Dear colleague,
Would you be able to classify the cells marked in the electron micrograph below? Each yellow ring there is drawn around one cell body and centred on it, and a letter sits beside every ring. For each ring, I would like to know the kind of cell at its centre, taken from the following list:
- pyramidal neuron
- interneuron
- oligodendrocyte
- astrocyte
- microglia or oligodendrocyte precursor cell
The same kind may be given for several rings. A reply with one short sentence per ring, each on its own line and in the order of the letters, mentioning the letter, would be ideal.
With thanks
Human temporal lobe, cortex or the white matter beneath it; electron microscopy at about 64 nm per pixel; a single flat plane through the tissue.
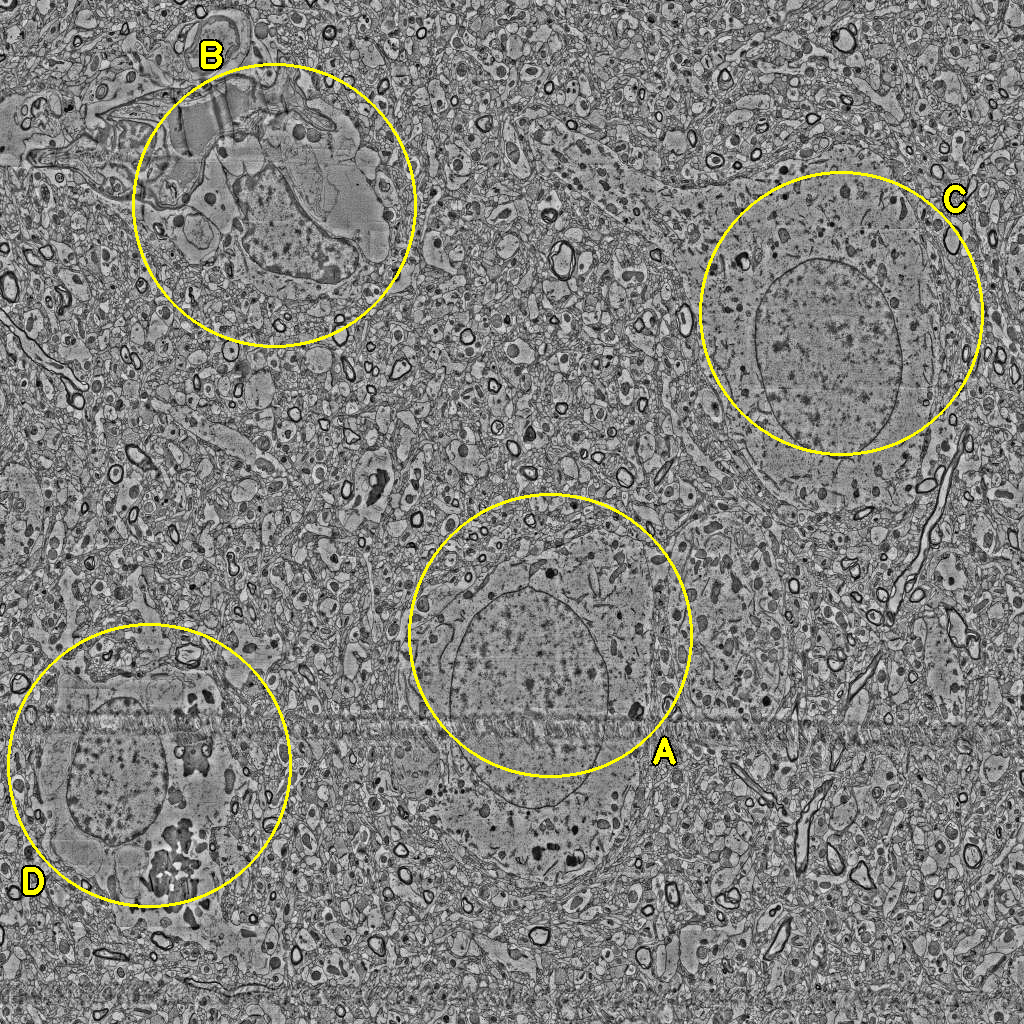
Ring A contains a pyramidal neuron at its centre.
Ring B contains a microglial cell or oligodendrocyte precursor cell at its centre.
Ring C contains a pyramidal neuron at its centre.
Ring D contains an astrocyte at its centre.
